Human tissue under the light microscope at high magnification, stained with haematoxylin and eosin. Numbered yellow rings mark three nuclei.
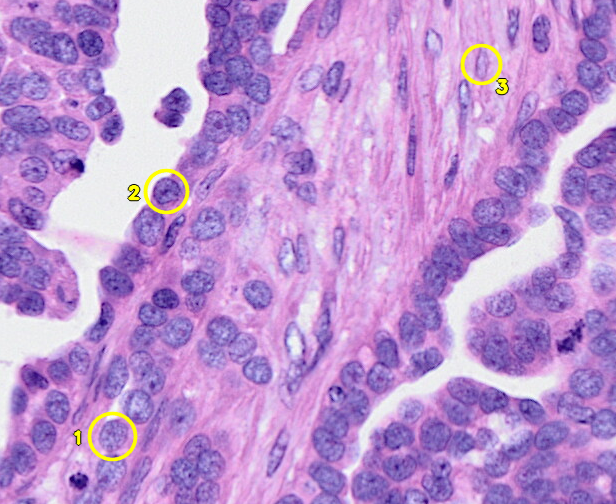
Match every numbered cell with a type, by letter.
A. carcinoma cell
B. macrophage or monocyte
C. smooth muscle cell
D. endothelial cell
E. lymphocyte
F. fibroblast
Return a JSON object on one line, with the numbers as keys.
{"1": "A", "2": "A", "3": "F"}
